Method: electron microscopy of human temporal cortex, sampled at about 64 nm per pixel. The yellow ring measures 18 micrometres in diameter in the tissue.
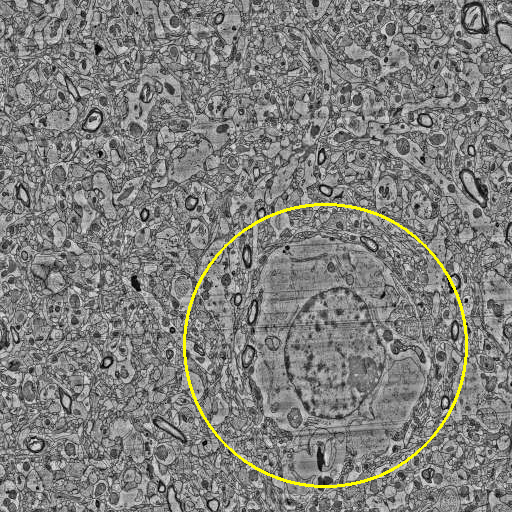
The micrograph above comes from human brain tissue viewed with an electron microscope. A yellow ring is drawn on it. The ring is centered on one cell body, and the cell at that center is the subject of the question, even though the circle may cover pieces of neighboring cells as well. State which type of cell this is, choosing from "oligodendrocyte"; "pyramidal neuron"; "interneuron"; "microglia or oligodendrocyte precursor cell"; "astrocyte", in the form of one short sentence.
The cell the ring is centered on is an astrocyte.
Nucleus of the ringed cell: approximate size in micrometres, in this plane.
The nucleus measures about 8 by 7 micrometres in this plane.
